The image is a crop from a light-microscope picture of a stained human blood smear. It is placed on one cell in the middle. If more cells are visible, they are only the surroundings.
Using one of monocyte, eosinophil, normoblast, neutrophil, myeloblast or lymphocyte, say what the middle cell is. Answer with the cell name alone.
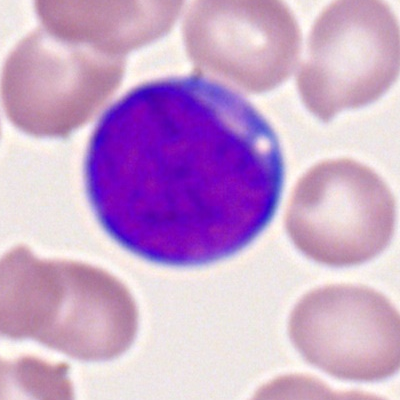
myeloblast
